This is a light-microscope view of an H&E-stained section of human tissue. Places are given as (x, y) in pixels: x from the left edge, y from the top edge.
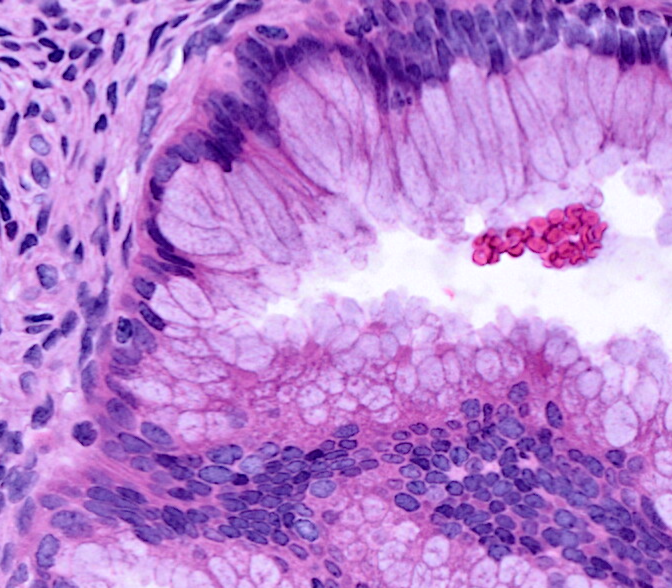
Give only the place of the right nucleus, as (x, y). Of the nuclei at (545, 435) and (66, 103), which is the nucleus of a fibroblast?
(66, 103)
